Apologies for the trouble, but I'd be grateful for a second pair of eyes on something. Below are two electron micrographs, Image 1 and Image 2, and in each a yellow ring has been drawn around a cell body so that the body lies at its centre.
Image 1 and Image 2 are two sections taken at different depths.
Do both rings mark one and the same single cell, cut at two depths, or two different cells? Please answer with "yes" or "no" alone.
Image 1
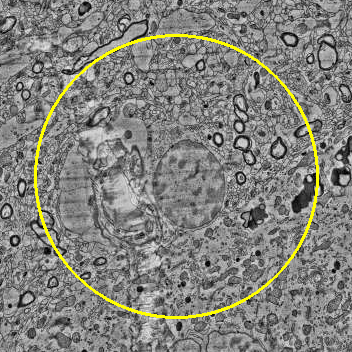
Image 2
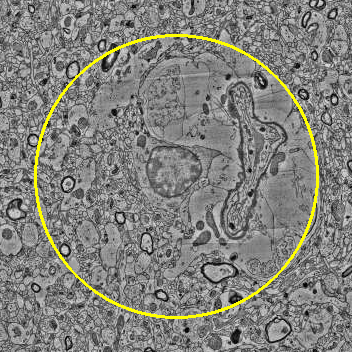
no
